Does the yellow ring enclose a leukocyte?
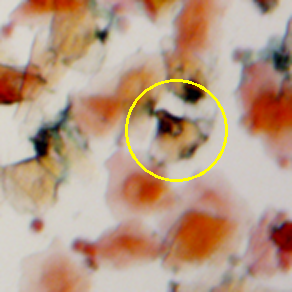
No. The ring encloses a cornified epithelial cell.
